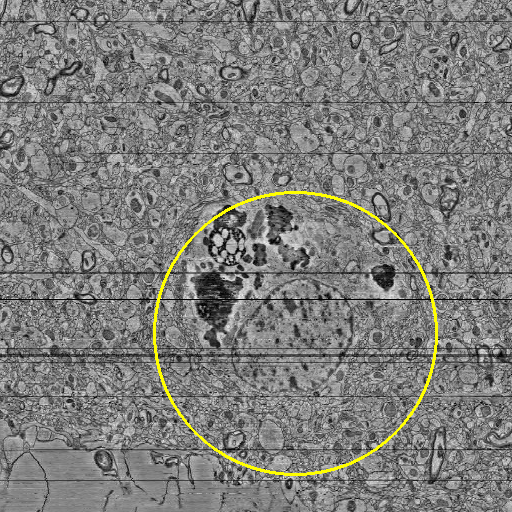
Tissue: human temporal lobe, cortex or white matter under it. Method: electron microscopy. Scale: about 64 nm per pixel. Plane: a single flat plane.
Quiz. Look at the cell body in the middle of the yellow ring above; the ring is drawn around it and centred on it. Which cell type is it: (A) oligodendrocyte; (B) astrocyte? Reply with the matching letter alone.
B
